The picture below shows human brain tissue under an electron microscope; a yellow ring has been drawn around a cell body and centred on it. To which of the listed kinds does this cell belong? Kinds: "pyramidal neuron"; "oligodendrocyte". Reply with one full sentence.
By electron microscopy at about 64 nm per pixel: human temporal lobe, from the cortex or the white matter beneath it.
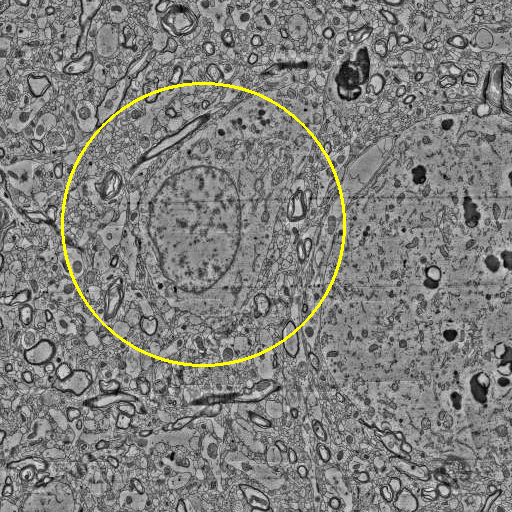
It is a pyramidal neuron that the yellow ring in the picture is centred on.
